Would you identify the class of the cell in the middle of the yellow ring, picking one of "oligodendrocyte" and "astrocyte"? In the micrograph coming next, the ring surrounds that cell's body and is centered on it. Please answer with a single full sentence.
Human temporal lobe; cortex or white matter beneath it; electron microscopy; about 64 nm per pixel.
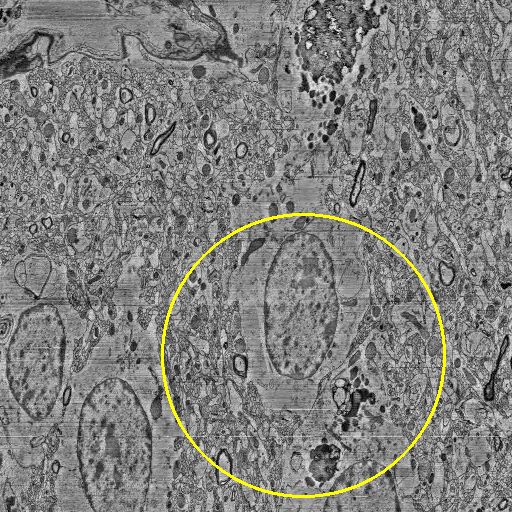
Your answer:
In the micrograph, it is an astrocyte whose body lies at the ring's center.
